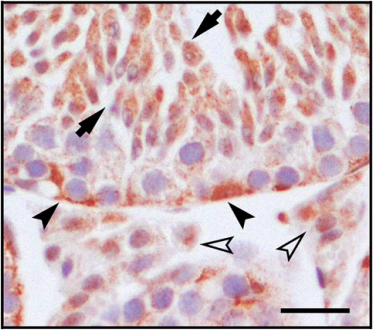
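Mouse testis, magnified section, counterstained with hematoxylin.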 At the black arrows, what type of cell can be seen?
Elongated spermatids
